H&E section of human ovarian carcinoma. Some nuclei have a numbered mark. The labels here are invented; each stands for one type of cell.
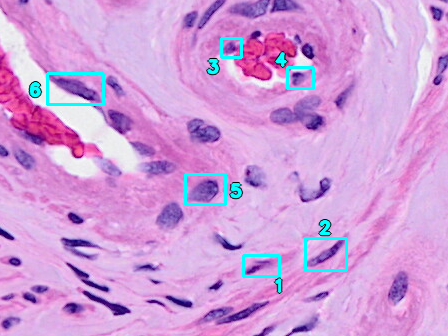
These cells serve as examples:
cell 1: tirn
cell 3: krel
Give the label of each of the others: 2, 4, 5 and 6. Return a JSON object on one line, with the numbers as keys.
{"2": "tirn", "4": "krel", "5": "tirn", "6": "krel"}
